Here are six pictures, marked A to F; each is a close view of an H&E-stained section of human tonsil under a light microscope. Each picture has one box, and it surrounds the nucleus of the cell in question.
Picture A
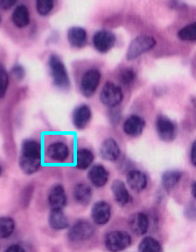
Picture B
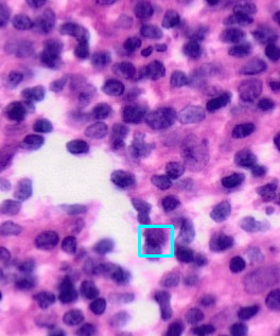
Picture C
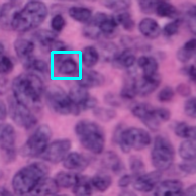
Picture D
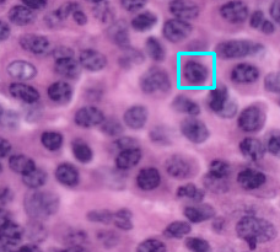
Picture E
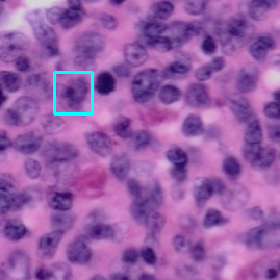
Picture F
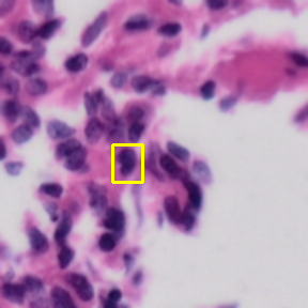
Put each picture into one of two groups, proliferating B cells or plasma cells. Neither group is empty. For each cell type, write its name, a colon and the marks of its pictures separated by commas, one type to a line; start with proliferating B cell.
proliferating B cell: B, C, E, F
plasma cell: A, D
